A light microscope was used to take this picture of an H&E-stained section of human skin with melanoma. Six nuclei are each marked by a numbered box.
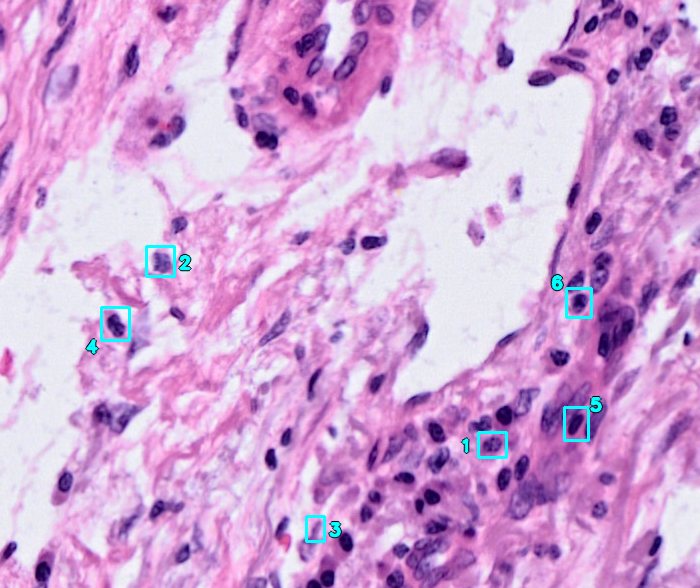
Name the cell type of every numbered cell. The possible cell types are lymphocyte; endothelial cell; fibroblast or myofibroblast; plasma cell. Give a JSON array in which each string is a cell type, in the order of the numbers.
["plasma cell", "lymphocyte", "fibroblast or myofibroblast", "lymphocyte", "endothelial cell", "lymphocyte"]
